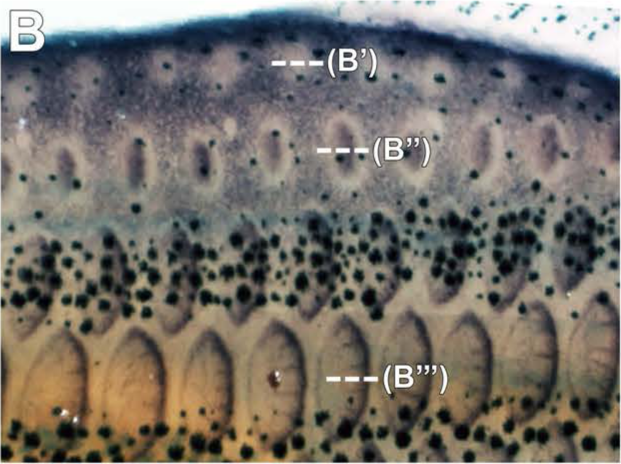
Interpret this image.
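This is a low-power view of the skin of the flank, where scales form in rows at successive stages from the upper edge downwards. Near the top edge the skin is darkly stained with no scales yet, and below this lies a row of small, separate oval papillae, each with a darker centre ringed by a paler halo. Dark, round pigment cells are scattered over the skin, crowded most densely in a band across the middle.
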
